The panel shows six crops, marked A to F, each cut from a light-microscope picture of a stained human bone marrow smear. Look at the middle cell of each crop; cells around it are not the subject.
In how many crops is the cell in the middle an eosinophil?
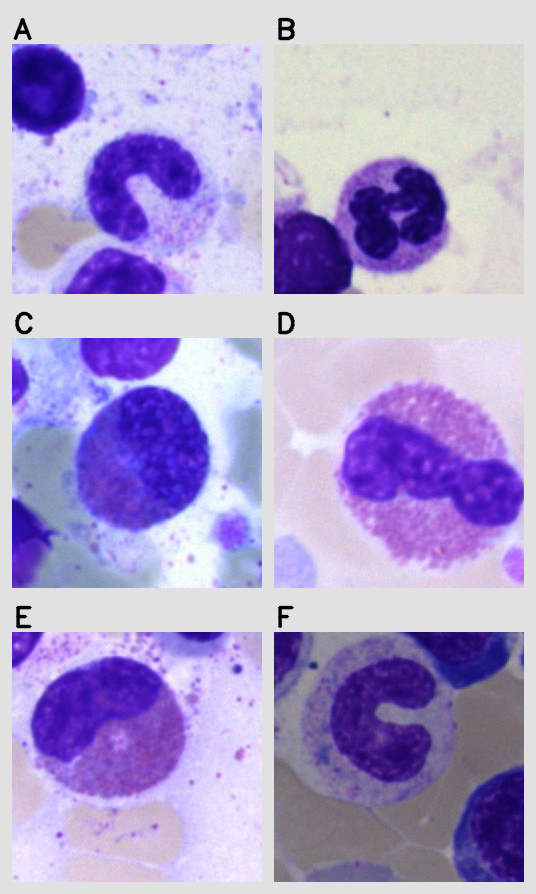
3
